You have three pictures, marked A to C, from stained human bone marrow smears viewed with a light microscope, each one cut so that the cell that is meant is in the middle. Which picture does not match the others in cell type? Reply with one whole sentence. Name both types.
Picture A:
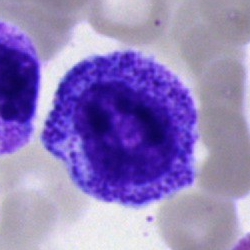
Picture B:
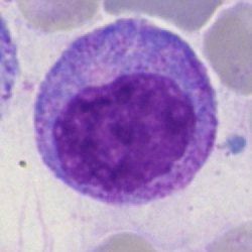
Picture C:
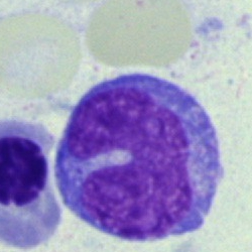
The others show promyelocytes, but picture C shows a monocyte.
